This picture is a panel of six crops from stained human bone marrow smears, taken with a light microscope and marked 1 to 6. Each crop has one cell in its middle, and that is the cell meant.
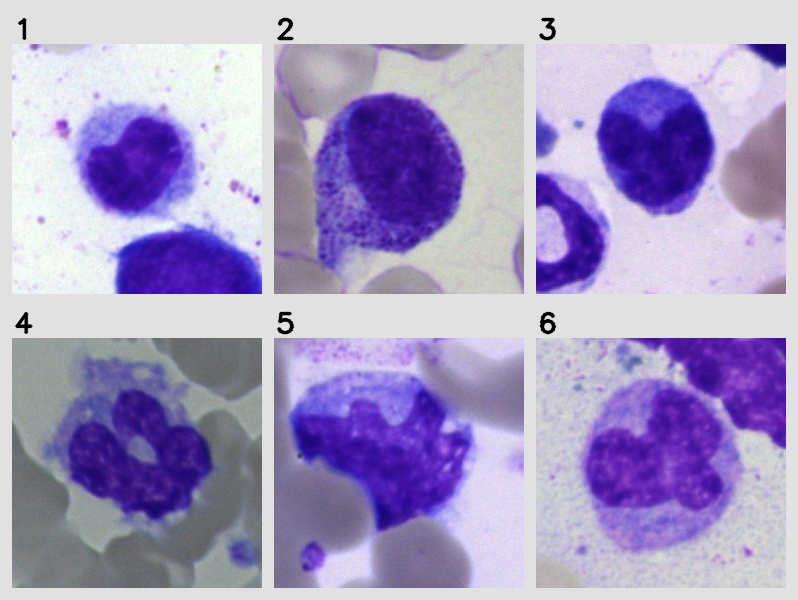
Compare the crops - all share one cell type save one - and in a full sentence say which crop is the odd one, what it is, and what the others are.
The rest of the crops show monocytes; crop 2 is the one showing a myelocyte.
